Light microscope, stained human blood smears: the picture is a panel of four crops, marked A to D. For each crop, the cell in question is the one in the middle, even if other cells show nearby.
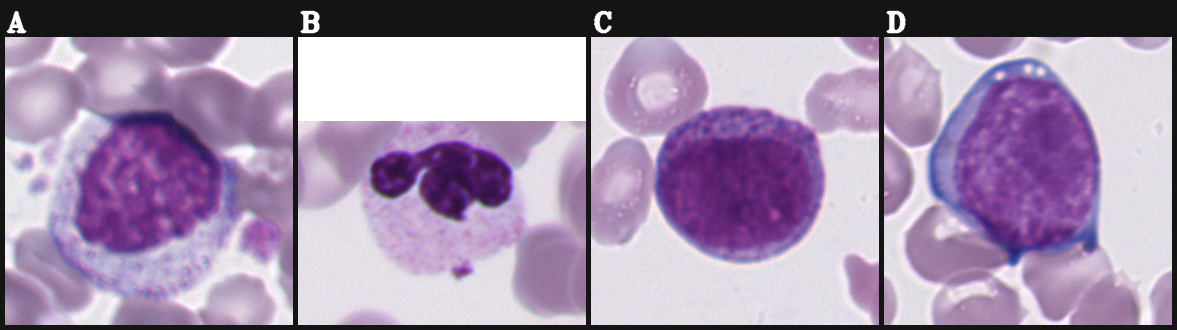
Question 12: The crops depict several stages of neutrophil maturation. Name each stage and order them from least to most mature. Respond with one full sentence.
Sequenced by maturity, least first, the crops are crop D (a myeloblast), crop C (a promyelocyte), crop A (a myelocyte) and crop B (a segmented neutrophil).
